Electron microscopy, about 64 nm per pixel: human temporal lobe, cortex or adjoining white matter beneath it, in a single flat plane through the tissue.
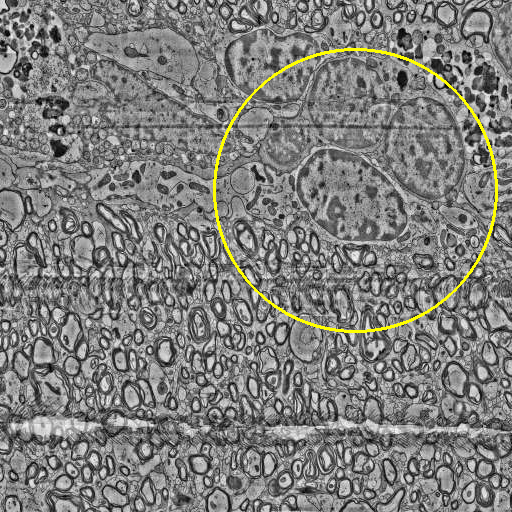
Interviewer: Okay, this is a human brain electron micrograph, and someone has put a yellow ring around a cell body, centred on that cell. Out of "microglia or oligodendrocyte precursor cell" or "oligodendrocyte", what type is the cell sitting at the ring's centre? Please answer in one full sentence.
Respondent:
The cell at the centre of the yellow ring in this picture is a microglial cell or oligodendrocyte precursor cell.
